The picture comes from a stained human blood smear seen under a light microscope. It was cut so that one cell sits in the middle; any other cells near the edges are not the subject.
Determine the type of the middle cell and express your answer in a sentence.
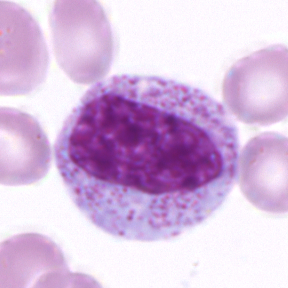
What the crop centres on is a myelocyte.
